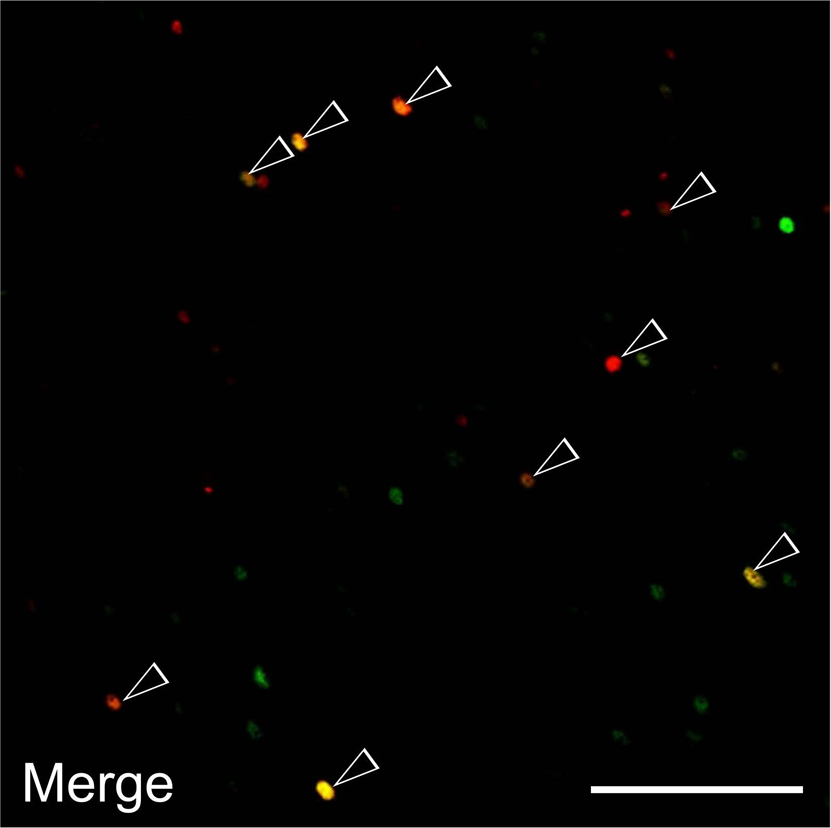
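Some are yellow to orange, where green and red overlap in the same spot, and these are marked by open arrowheads. Others remain purely green or purely red, without a partner in the other colour. The spots show no clustering into layers at this low magnification.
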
